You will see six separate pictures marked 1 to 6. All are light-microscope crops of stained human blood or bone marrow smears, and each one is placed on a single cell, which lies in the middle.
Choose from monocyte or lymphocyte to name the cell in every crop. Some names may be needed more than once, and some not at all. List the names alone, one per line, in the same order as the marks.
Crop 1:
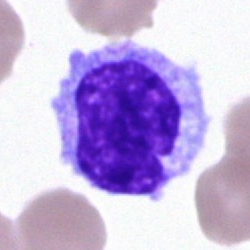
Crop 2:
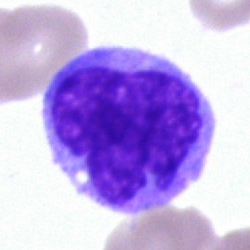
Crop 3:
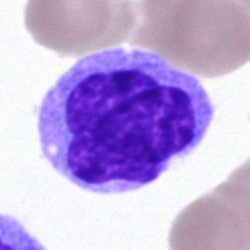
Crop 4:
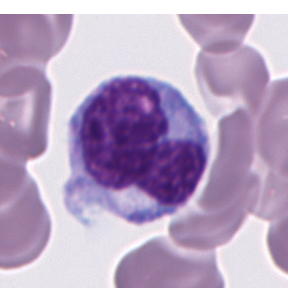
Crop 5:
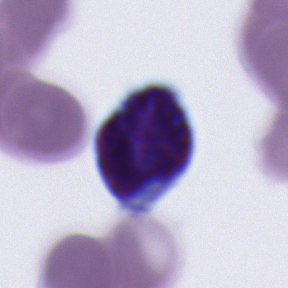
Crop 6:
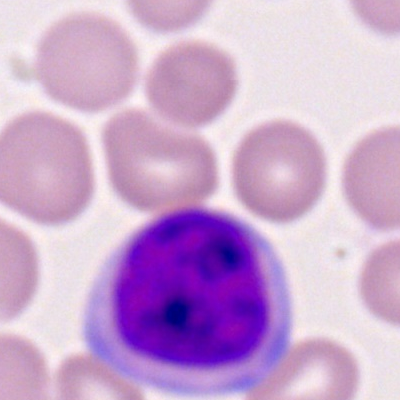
monocyte
monocyte
monocyte
monocyte
lymphocyte
lymphocyte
